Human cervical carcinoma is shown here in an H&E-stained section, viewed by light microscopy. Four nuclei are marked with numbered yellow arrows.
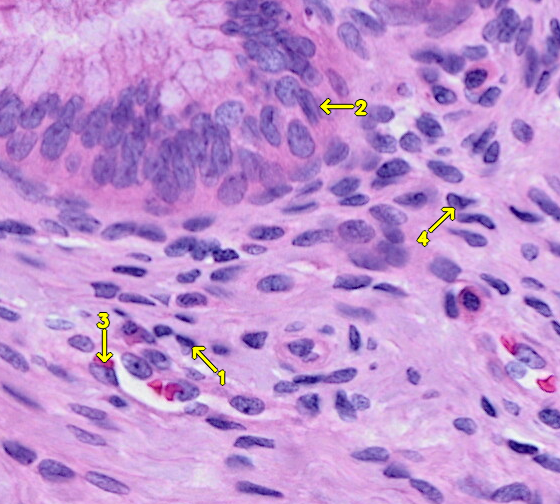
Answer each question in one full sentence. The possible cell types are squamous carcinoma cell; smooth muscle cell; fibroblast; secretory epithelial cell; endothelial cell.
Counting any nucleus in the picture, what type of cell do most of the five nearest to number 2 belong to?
Most of the five nuclei nearest to number 2 are those of secretory epithelial cells.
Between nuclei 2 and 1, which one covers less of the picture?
The smaller nucleus is 1, and 2 covers roughly 2 times its area.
